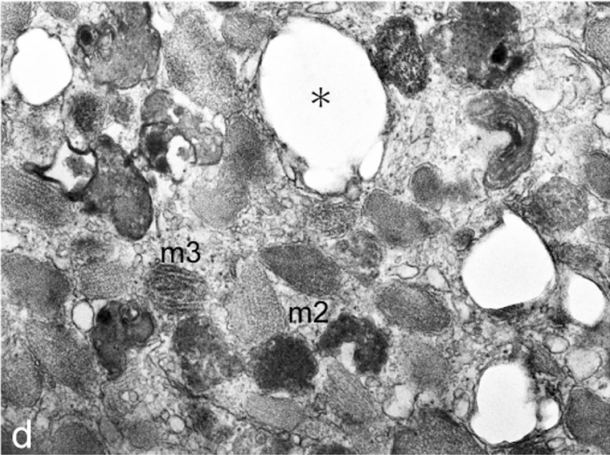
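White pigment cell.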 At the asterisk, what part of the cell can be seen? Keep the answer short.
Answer: Reflecting platelets.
